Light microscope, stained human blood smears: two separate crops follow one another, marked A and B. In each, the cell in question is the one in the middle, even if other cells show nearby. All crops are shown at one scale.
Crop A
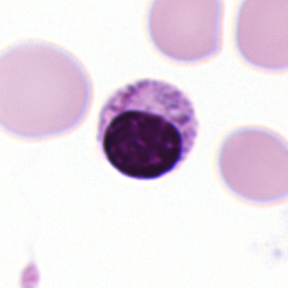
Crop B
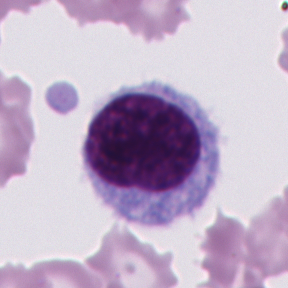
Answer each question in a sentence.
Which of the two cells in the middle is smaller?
Crop A holds the smaller cell, since the cell in crop B covers about 2 times as much area.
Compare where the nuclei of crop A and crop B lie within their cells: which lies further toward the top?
In crop B the nucleus is shifted more toward the top.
